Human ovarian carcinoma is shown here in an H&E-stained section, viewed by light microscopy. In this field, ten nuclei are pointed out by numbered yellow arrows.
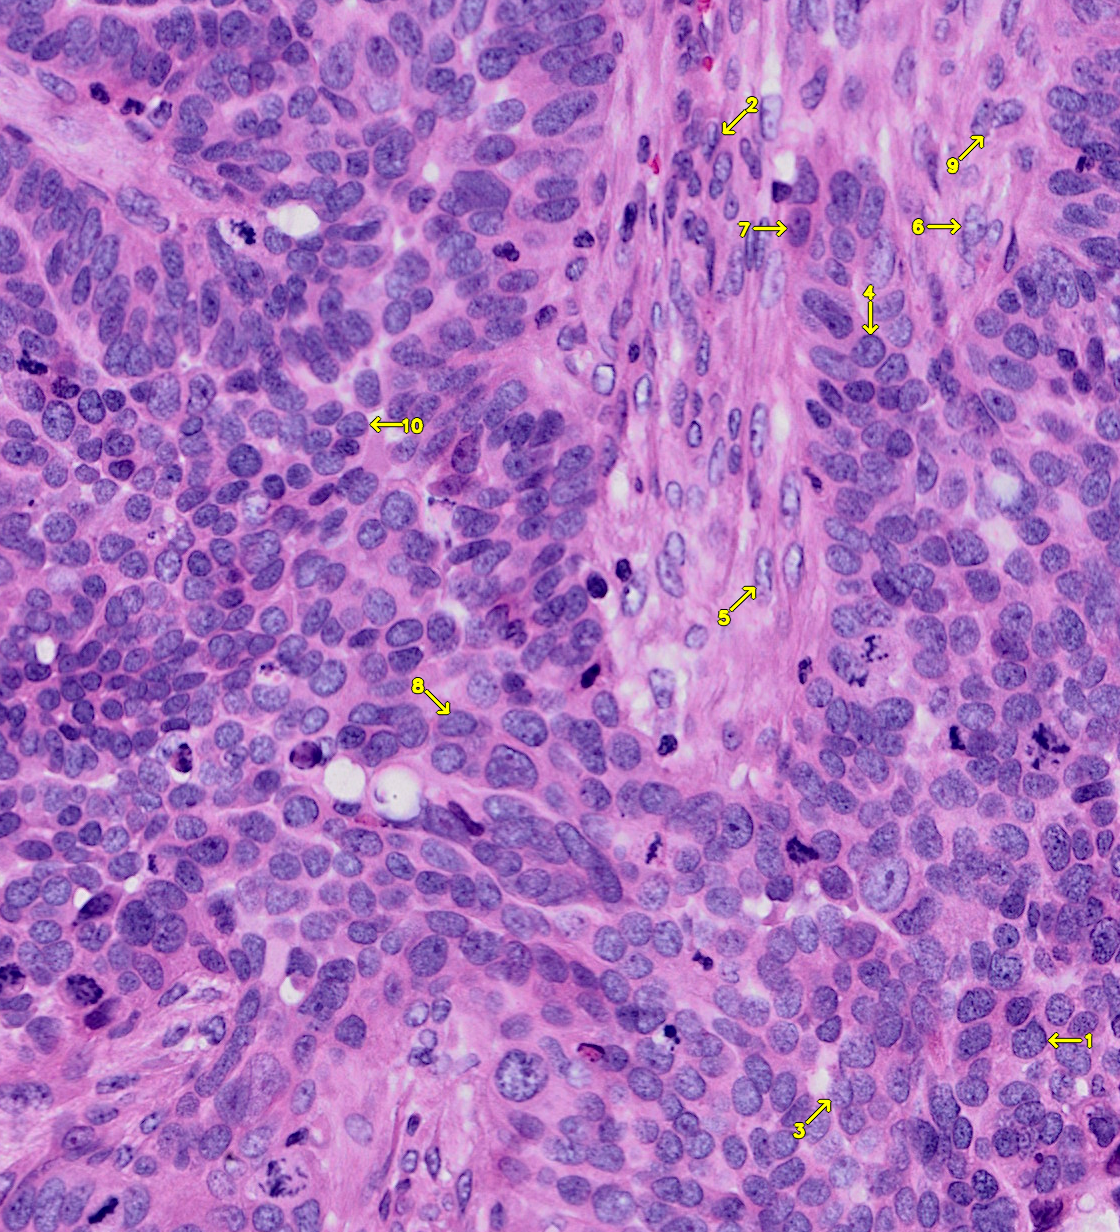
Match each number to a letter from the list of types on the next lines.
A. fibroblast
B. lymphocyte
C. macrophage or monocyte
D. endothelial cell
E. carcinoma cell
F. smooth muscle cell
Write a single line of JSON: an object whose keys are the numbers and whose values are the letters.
{"1": "E", "2": "D", "3": "E", "4": "E", "5": "A", "6": "A", "7": "E", "8": "E", "9": "A", "10": "E"}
